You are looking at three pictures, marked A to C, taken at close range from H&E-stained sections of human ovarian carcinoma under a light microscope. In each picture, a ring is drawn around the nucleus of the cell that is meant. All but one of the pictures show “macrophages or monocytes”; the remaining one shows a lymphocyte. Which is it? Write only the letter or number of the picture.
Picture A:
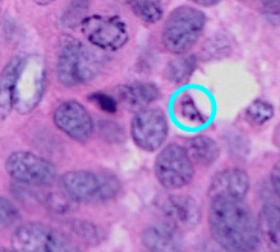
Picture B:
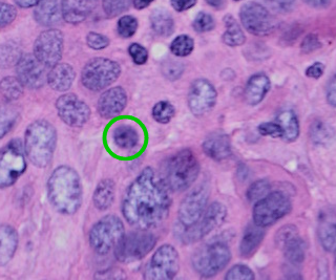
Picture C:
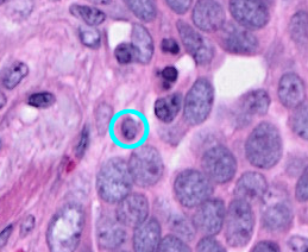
B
